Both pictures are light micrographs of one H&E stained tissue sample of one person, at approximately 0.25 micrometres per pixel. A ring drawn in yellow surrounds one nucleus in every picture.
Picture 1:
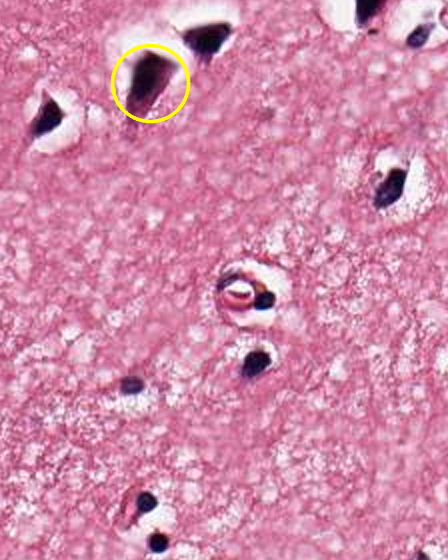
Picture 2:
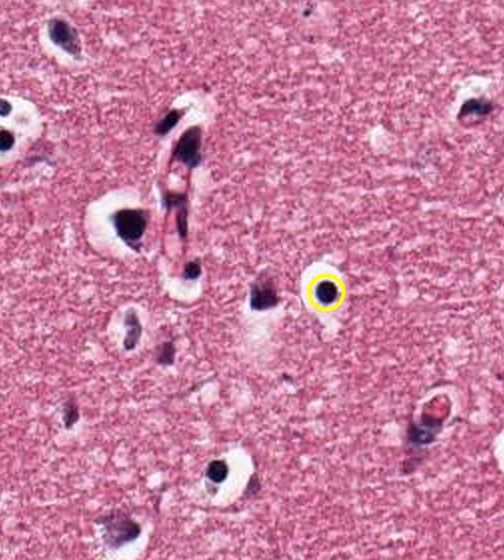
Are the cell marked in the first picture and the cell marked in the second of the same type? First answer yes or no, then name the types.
No, the first is a neuron and the second an oligodendrocyte.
